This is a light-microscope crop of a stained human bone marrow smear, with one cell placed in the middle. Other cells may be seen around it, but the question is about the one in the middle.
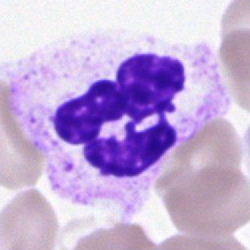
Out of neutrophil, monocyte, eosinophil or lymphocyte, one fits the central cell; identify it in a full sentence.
The cell the crop is centered on is a neutrophil.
